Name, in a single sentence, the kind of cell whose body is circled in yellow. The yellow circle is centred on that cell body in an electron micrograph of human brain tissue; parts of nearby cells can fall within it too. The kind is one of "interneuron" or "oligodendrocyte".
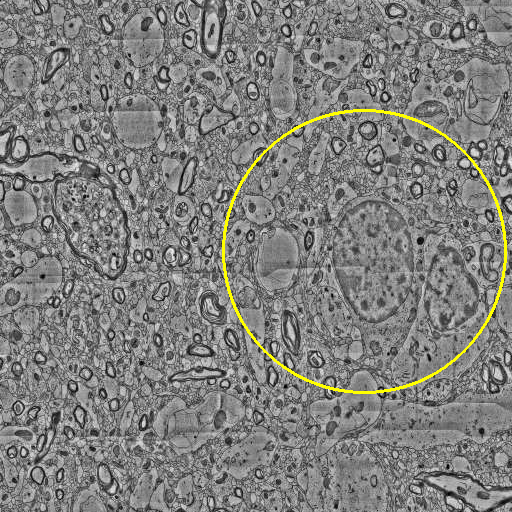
The circled cell body belongs to an oligodendrocyte.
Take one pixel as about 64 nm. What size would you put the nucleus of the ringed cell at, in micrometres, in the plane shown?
About 8 by 6 micrometers for the nucleus, in this plane.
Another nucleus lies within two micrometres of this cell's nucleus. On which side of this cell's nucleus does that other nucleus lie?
The other nucleus is positioned to the right of it.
